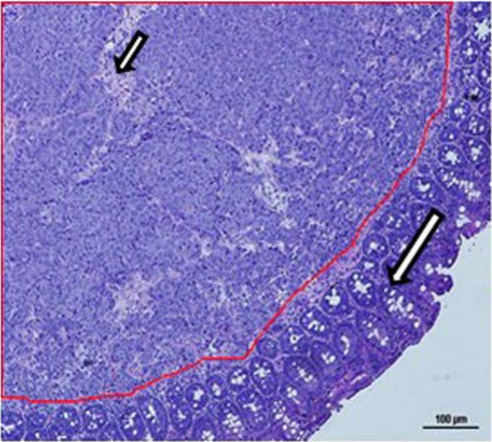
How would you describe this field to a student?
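This is colon wall in which a large solid tumor lies beneath the mucosa. The tumor is a sheet of densely packed cells with dark purple nuclei and little cytoplasm, forming no glands, crossed by a few pale, loosely textured strands.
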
